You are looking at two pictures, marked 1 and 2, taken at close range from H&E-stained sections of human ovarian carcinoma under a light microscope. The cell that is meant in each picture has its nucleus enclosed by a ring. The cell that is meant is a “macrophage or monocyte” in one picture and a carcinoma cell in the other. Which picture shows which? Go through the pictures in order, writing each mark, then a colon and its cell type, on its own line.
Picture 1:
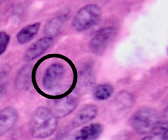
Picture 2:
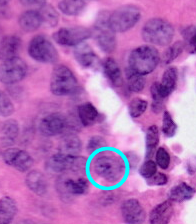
1: macrophage or monocyte
2: carcinoma cell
